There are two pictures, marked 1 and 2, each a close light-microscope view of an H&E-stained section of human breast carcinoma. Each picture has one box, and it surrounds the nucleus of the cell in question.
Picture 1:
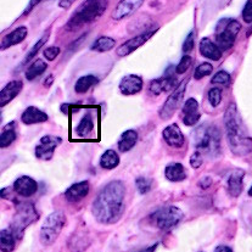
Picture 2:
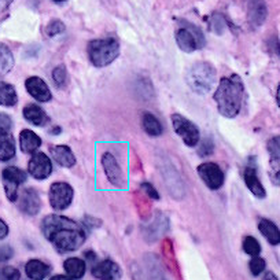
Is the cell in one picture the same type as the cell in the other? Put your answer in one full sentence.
No; the cell in picture 1 is a lymphocyte, while the one in picture 2 is an endothelial cell.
